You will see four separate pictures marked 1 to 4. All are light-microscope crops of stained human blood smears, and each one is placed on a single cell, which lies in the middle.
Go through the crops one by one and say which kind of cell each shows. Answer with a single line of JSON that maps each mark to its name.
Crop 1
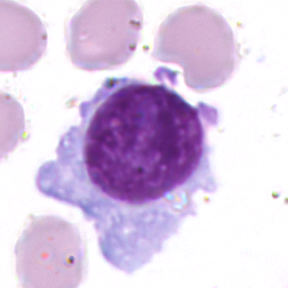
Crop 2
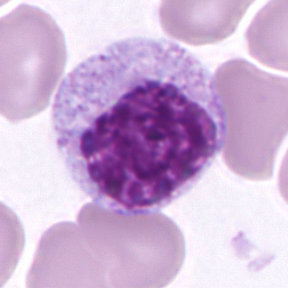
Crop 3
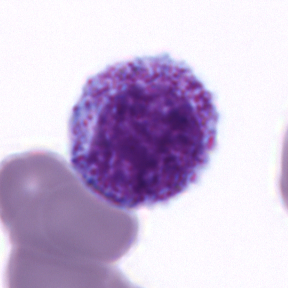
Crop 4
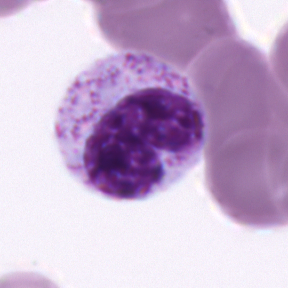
{"1": "plasma cell", "2": "myelocyte", "3": "myelocyte", "4": "band neutrophil"}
